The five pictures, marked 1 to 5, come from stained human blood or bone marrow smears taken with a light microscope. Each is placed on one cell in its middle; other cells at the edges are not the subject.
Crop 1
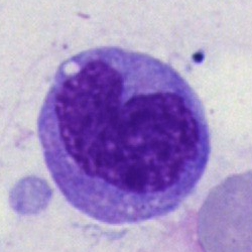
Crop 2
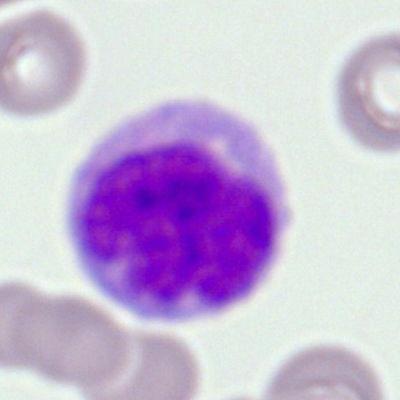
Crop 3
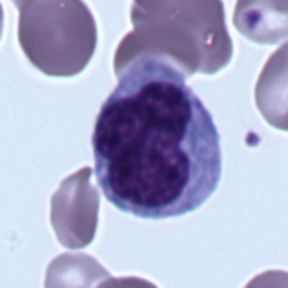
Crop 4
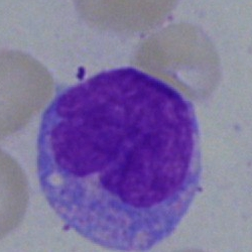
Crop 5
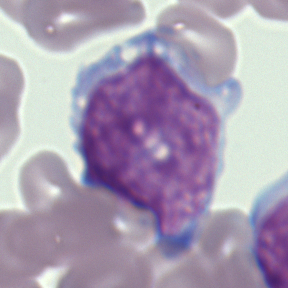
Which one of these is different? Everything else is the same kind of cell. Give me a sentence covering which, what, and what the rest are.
Just crop 5 is a blast; all the other crops show monocytes.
